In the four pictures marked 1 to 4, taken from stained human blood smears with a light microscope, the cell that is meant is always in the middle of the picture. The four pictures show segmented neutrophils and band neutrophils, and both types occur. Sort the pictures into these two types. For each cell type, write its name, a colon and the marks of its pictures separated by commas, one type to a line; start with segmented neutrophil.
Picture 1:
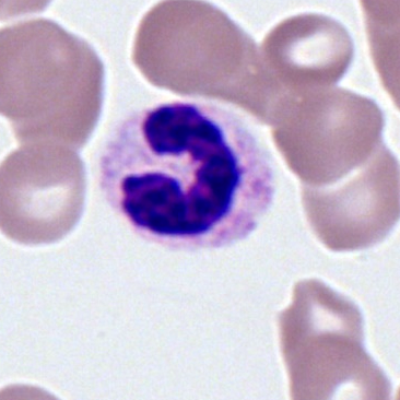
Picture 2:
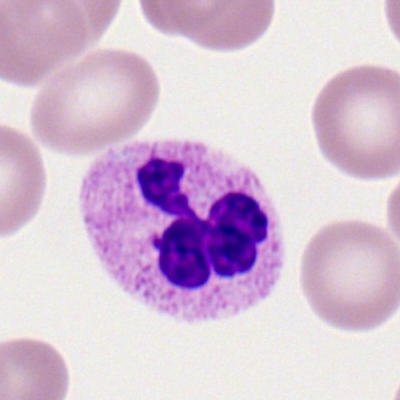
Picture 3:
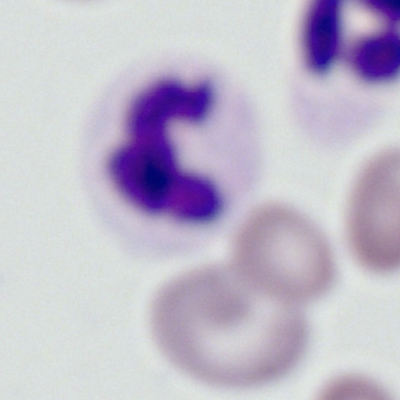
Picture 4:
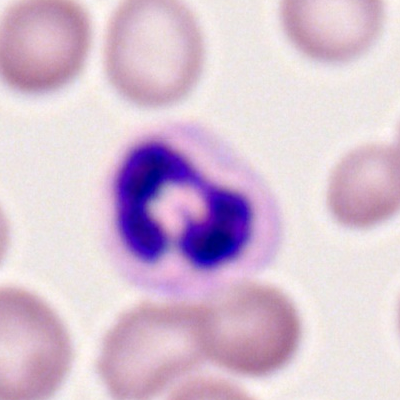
segmented neutrophil: 2, 3, 4
band neutrophil: 1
